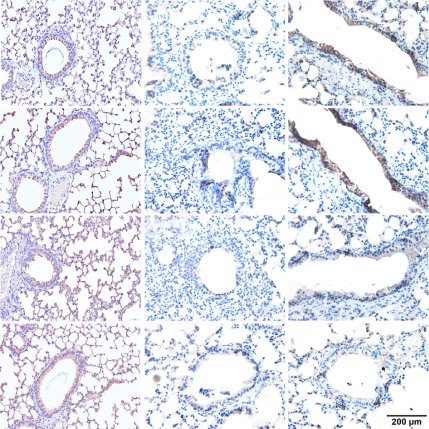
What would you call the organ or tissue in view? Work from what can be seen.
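Lung tissue. Many small thin-walled air spaces surround tubular airway lumens. Airways are lined by a single layer of epithelial cells. Blue-stained nuclei lie in the delicate septa between air spaces.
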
